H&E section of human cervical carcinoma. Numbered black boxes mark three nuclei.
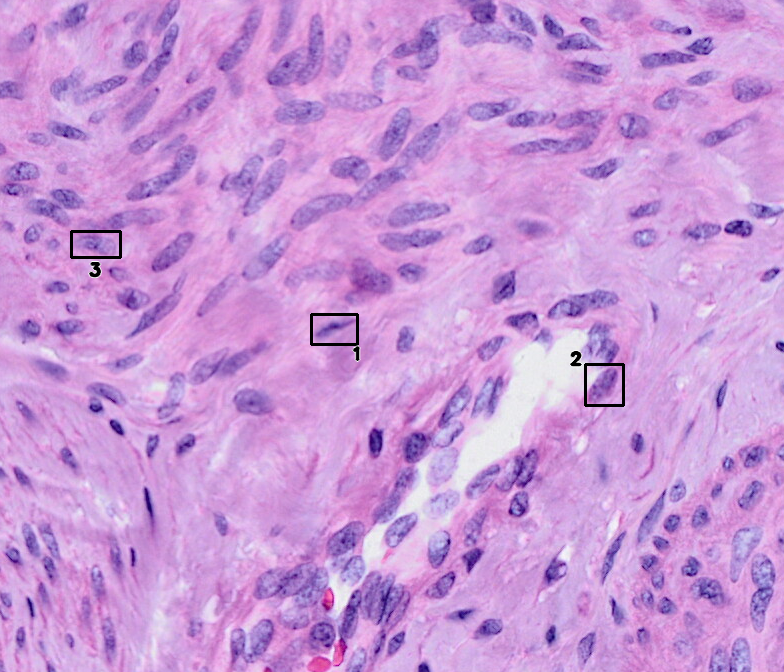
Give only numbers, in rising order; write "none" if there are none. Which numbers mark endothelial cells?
2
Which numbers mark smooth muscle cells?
3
